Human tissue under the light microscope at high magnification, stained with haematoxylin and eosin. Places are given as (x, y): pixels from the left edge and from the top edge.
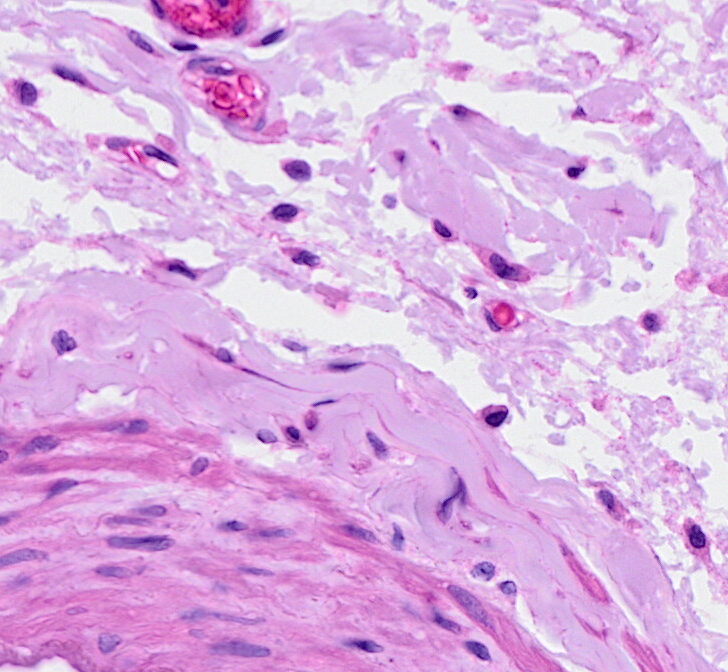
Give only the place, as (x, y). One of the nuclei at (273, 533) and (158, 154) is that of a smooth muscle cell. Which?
(273, 533)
